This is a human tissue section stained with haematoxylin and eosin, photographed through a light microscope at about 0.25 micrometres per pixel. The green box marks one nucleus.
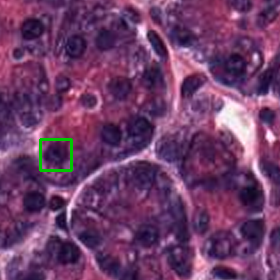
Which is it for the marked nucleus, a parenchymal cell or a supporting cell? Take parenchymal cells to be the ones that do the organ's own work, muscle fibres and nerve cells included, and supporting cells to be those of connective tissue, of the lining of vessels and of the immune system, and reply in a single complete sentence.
The marked nucleus is found in a parenchymal cell, namely a pancreatic acinar cell.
